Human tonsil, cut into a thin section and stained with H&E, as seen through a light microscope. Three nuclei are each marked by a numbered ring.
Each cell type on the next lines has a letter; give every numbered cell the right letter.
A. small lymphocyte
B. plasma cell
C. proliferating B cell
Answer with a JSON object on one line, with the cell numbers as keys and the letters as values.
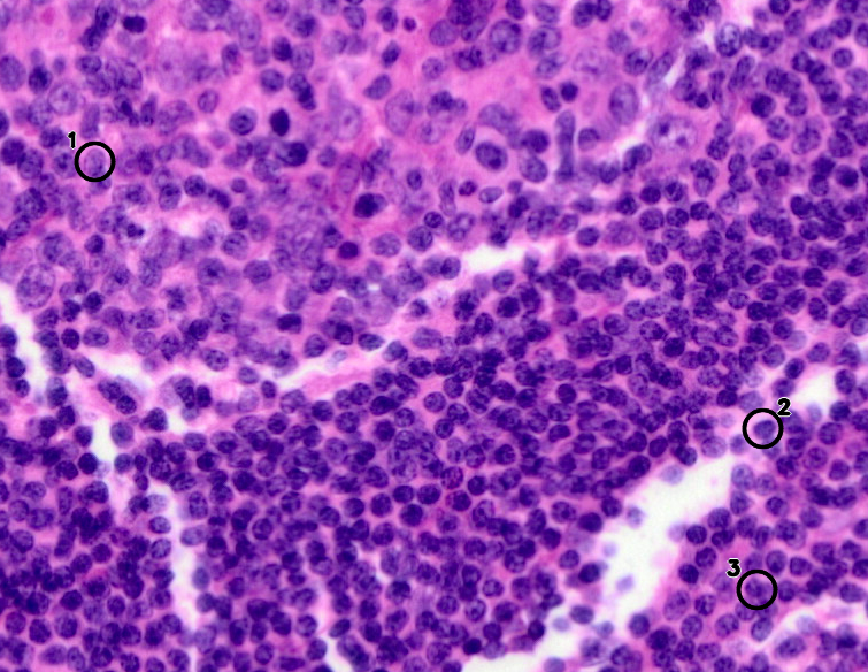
{"1": "C", "2": "A", "3": "A"}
